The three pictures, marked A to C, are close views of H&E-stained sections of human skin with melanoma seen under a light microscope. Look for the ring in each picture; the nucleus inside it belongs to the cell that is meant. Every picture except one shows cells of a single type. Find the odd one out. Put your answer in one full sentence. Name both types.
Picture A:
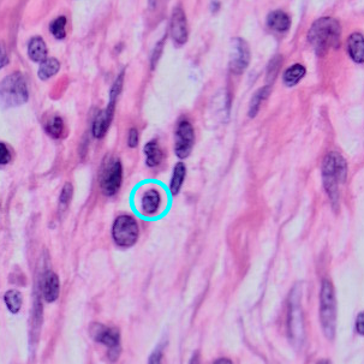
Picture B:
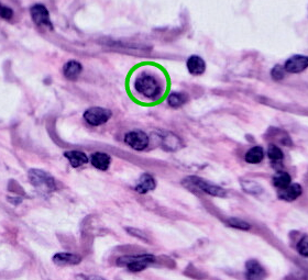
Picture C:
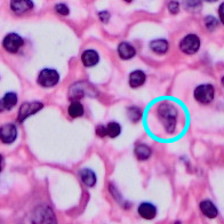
All pictures except C show plasma cells; picture C shows a “macrophage or monocyte”.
